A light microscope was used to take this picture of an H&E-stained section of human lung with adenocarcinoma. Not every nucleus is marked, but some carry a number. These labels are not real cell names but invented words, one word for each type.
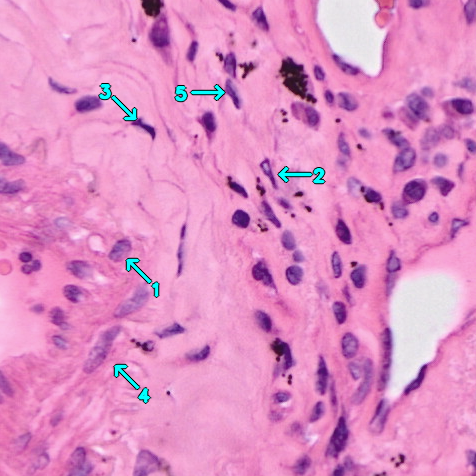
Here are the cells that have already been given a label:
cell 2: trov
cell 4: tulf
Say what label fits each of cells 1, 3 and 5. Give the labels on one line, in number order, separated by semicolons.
tulf; trov; trov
